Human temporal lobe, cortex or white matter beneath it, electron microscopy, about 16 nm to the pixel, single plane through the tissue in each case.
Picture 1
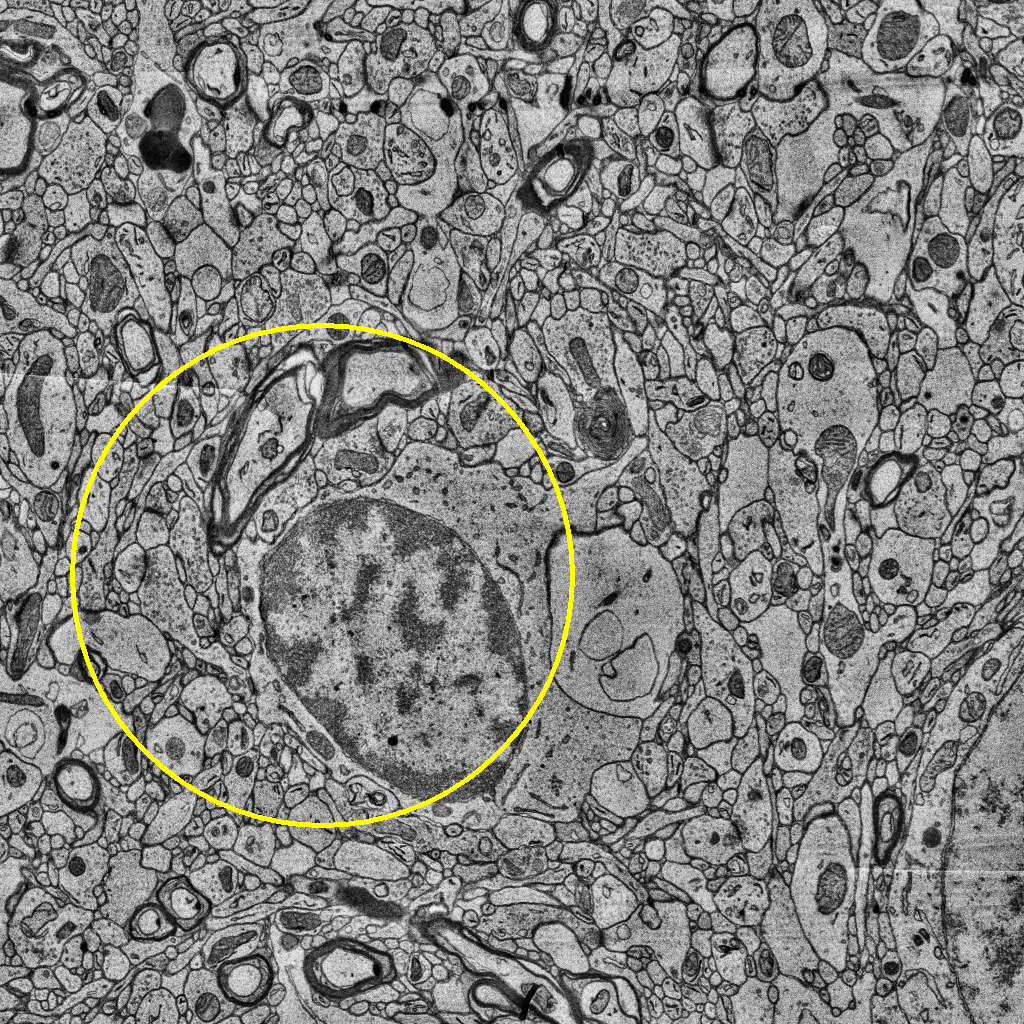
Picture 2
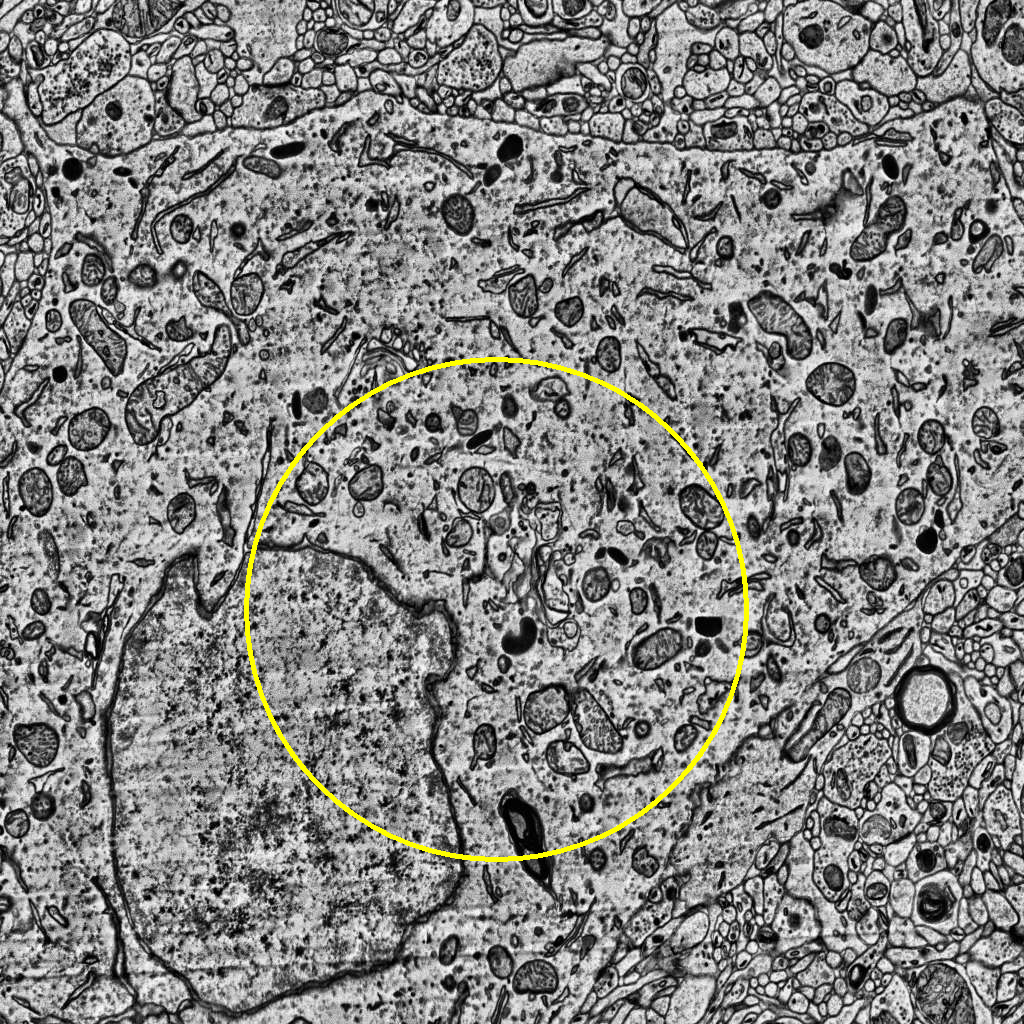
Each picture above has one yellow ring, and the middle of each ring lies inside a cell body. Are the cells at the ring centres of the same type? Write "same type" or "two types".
two types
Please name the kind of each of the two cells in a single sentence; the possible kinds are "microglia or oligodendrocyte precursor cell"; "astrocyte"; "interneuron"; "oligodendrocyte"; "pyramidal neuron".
The two differ: the first cell is a microglial cell or oligodendrocyte precursor cell and the second is an interneuron.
